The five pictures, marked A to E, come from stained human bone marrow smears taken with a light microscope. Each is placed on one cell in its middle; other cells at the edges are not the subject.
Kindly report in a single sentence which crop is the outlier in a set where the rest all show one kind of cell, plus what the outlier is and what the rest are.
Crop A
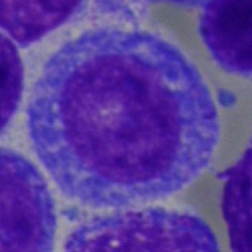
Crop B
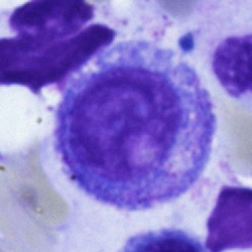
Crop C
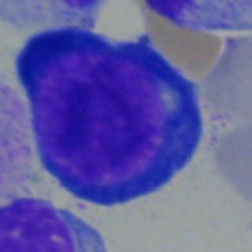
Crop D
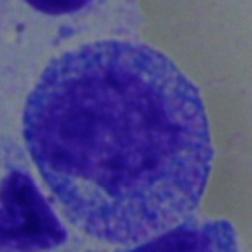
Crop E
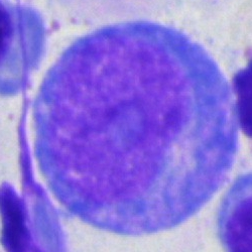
The rest of the crops show promyelocytes; crop C is the one showing a proerythroblast.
